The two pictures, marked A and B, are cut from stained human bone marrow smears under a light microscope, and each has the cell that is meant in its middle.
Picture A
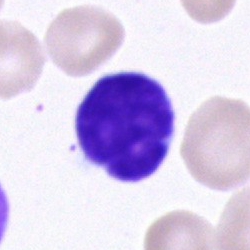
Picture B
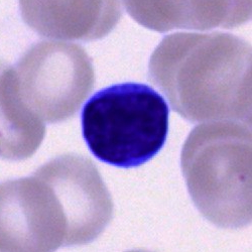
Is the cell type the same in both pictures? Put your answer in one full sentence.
Yes; the cells in both pictures are lymphocytes.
